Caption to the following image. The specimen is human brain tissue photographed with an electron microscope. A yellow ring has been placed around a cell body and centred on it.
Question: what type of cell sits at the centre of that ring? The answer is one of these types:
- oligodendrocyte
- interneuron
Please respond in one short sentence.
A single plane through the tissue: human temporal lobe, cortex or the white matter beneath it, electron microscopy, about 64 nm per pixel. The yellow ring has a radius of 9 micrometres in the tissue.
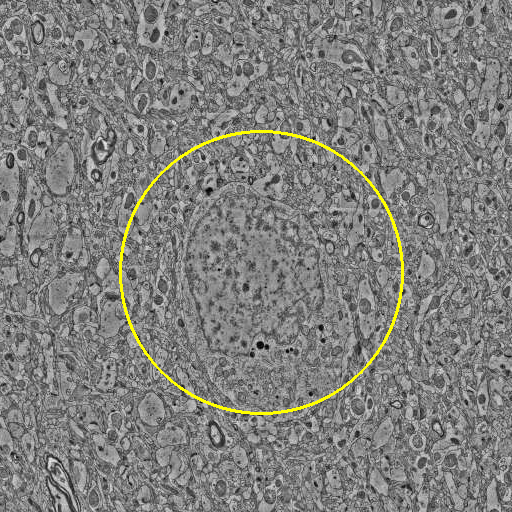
The ring surrounds the cell body of an interneuron.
